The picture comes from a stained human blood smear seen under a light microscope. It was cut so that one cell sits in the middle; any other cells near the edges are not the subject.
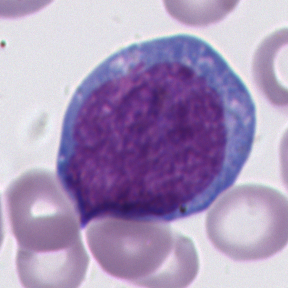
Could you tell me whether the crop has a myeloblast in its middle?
no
